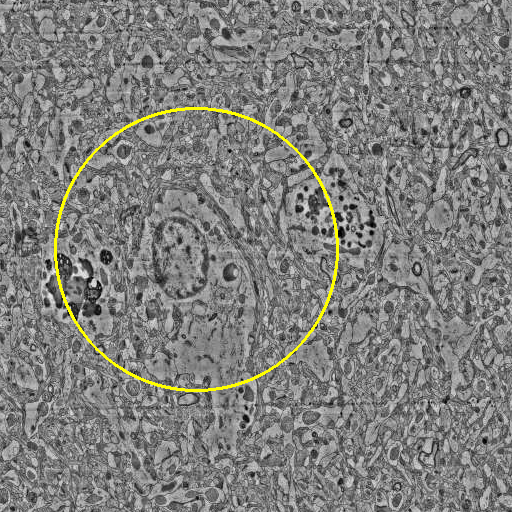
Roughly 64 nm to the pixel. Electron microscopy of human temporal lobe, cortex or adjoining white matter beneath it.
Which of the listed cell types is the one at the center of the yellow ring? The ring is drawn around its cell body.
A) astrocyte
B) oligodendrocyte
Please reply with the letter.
A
